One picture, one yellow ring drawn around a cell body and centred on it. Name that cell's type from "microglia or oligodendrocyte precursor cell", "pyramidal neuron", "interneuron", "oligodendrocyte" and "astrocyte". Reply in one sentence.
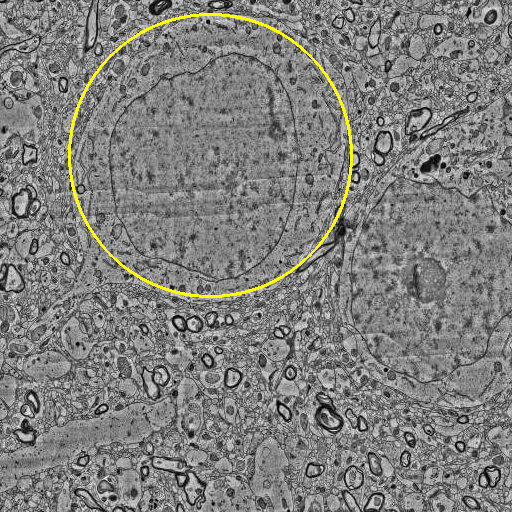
Centred in the ring is a pyramidal neuron.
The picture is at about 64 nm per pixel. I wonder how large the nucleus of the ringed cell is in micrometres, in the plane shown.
Approximately 15 x 12 micrometres in this plane.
